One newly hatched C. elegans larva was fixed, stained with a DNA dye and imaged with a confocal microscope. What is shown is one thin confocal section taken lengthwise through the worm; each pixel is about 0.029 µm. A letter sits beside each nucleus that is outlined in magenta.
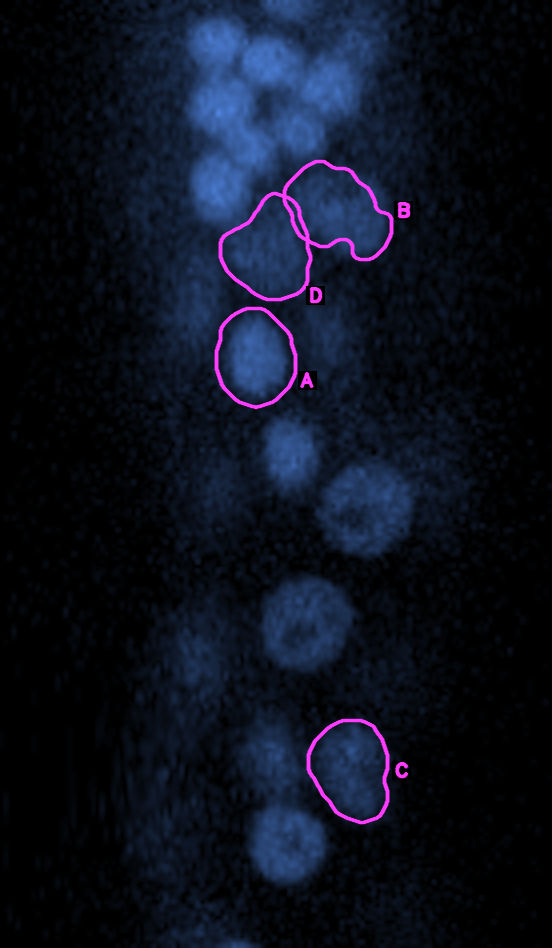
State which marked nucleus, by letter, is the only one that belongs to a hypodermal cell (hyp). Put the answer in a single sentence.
The nucleus of a hypodermal cell (hyp) is C.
